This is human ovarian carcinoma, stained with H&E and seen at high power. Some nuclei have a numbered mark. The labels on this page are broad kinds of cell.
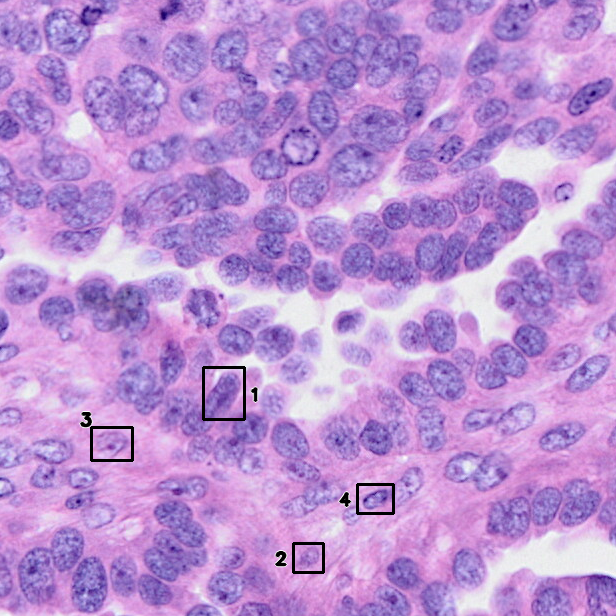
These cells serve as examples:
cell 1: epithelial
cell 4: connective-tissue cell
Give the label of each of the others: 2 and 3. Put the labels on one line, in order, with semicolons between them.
connective-tissue cell; connective-tissue cell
